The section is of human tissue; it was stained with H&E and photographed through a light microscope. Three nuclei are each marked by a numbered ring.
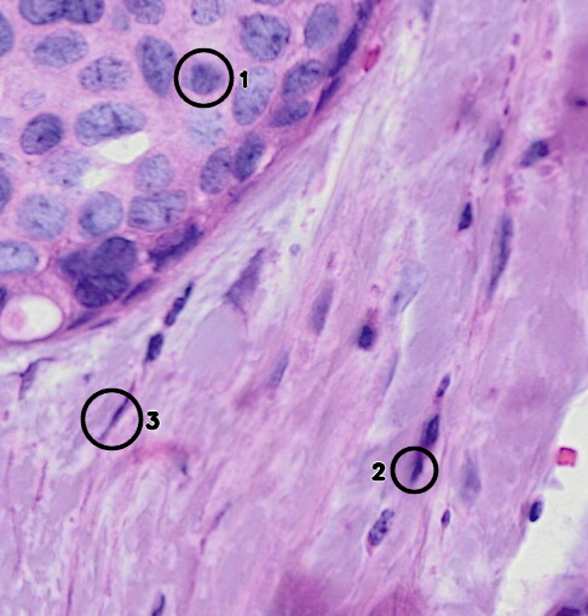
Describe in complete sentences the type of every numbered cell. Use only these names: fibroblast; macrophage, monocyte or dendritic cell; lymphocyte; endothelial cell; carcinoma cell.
Cell 1 is a carcinoma cell, cell 2 is a fibroblast and cell 3 is a fibroblast.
